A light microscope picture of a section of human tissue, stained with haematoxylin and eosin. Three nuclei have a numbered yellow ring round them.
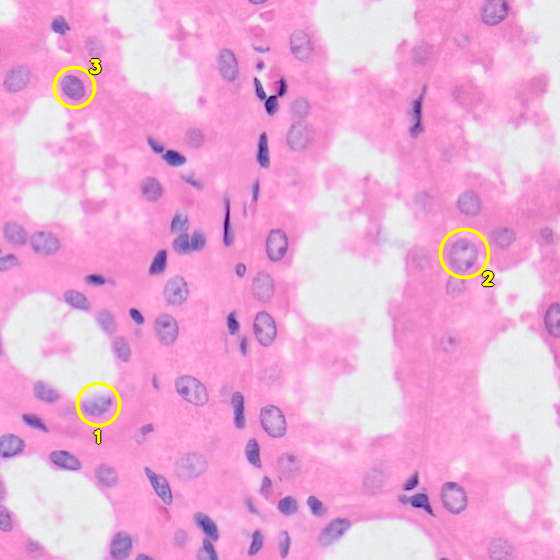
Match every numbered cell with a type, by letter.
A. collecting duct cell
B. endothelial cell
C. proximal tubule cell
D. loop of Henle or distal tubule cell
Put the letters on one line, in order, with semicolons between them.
D; C; C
